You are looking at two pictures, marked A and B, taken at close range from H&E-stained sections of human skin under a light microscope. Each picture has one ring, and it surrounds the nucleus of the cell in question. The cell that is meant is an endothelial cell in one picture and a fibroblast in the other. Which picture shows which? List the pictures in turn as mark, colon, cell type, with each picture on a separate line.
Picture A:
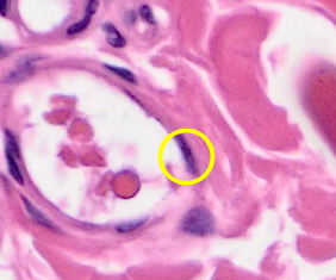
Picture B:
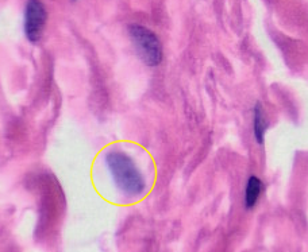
A: endothelial cell
B: fibroblast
